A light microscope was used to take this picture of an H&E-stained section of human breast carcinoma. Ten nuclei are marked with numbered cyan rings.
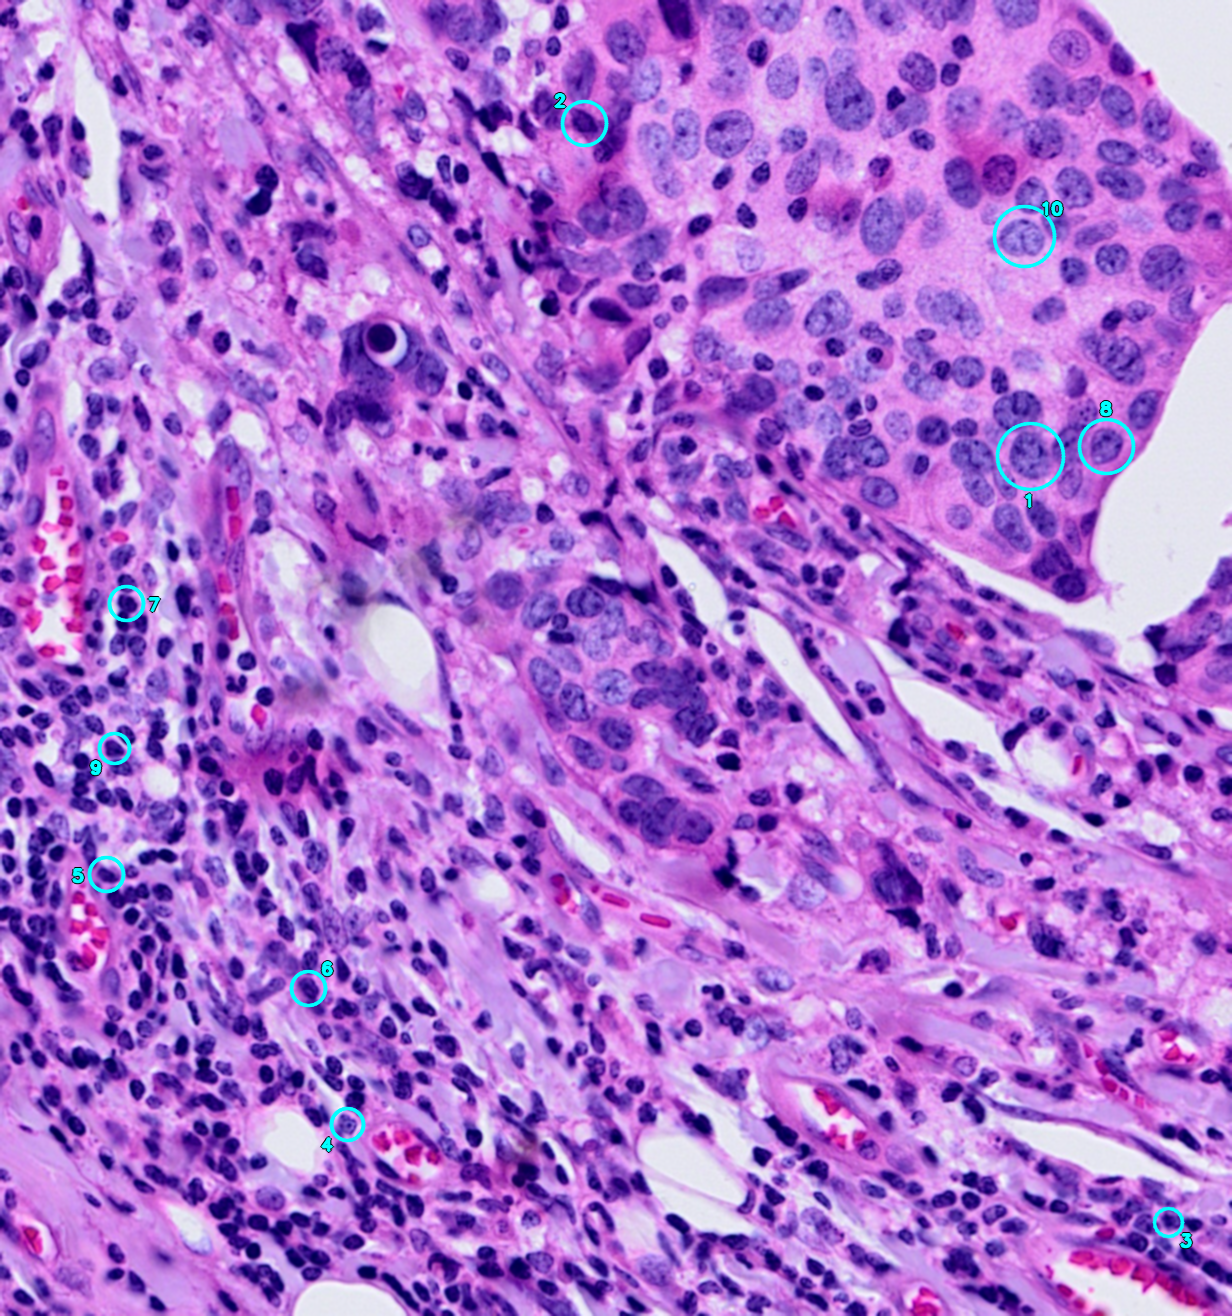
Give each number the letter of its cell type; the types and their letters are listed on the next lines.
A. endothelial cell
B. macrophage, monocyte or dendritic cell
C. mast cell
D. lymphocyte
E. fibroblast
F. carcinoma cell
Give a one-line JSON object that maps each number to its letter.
{"1": "F", "2": "F", "3": "D", "4": "D", "5": "D", "6": "D", "7": "D", "8": "F", "9": "D", "10": "F"}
